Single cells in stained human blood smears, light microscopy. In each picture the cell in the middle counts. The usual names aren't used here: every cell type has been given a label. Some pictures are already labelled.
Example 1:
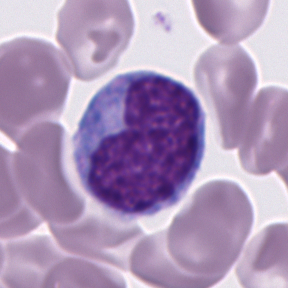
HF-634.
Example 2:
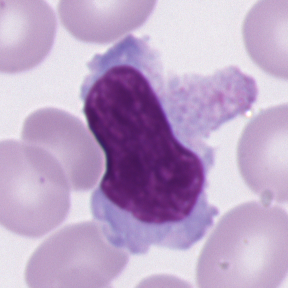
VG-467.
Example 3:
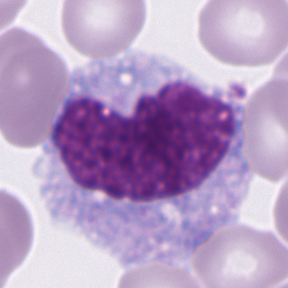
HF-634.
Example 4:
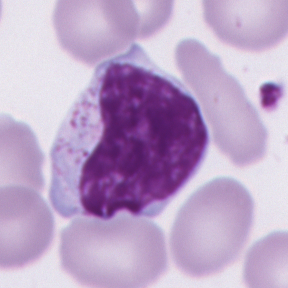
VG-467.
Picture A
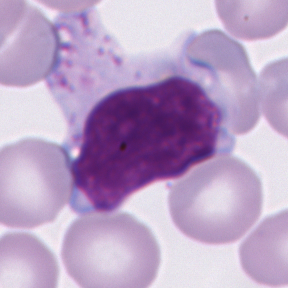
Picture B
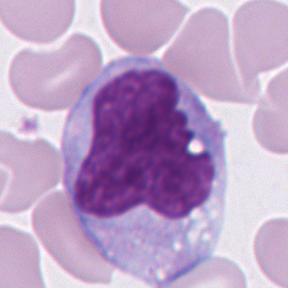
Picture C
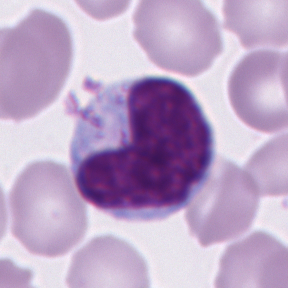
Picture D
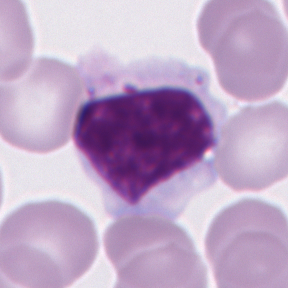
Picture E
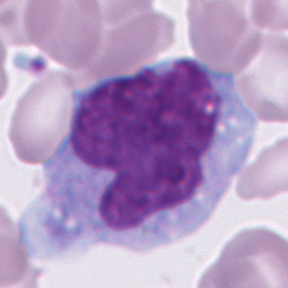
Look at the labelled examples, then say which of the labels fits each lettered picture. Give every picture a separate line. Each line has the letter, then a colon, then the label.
A: VG-467.
B: HF-634.
C: VG-467.
D: VG-467.
E: HF-634.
